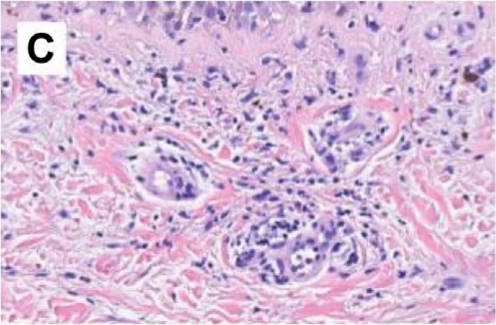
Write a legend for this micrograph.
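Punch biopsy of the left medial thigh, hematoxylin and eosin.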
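At higher power the lower edge of the epidermis is seen at the top, with the pink collagen bundles of the superficial dermis below. Small vessels with plump lining cells are surrounded by small inflammatory cells with dark, round nuclei, lymphocytes gathered around the vessels. A few brown pigment granules lie in the upper dermis.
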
